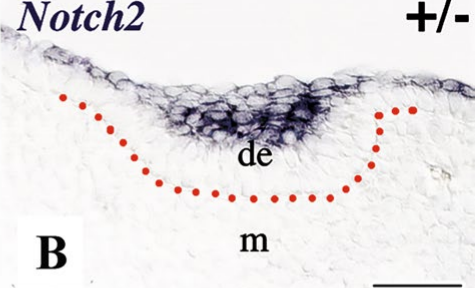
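Developing tooth area with a thickened dental epithelium that bulges downward into the mesenchyme as a rounded bud. Rounded, closely packed epithelial cells inside the bud carry dark purple stain, strongest in its centre, while the outermost surface cells are paler. Below the red dotted border the mesenchyme consists of loosely arranged unstained cells.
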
